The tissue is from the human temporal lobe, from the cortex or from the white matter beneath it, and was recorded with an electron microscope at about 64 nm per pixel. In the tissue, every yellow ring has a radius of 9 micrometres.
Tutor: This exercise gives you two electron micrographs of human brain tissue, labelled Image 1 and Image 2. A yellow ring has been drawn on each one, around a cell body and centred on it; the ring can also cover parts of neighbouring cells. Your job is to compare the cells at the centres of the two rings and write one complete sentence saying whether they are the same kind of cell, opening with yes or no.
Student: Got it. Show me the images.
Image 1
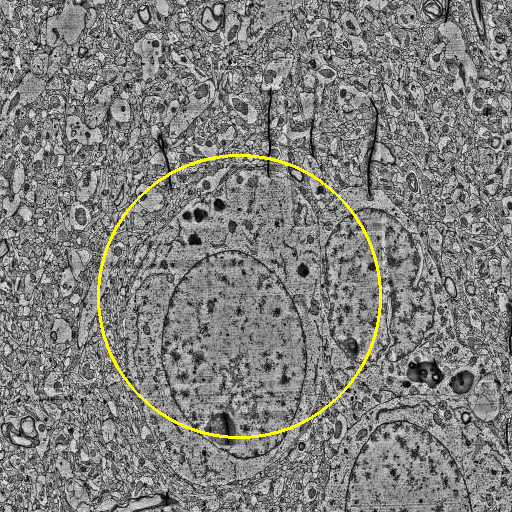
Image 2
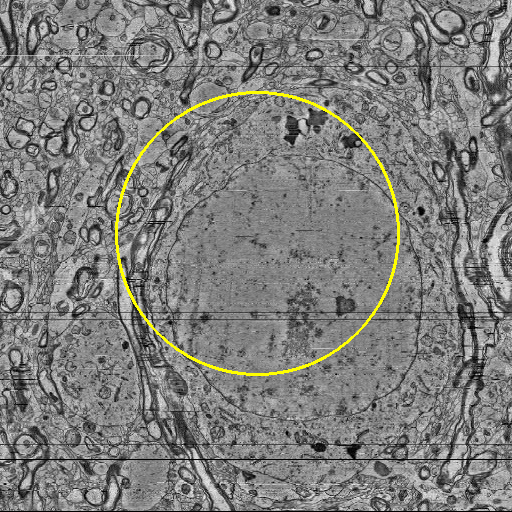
Yes, the two cells belong to the same kind.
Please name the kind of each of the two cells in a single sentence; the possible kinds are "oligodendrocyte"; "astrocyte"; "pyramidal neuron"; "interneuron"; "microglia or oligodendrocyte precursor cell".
Each of the two rings is centred on a pyramidal neuron.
